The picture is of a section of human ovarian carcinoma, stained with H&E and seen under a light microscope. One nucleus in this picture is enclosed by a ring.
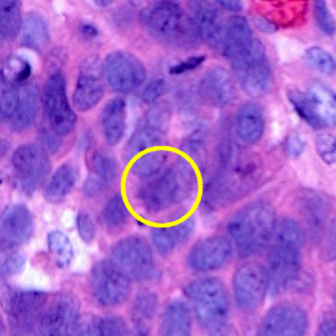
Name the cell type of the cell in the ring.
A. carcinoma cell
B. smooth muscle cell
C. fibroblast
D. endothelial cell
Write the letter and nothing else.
A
